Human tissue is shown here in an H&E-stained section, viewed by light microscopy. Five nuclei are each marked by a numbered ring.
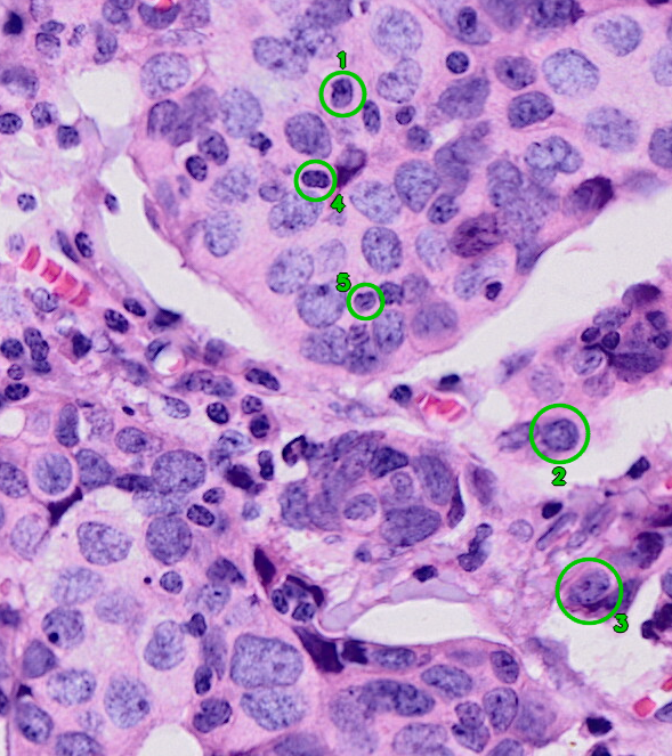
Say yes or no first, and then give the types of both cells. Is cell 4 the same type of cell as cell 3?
No, the proper labels are a lymphocyte for cell 4 and a carcinoma cell for cell 3.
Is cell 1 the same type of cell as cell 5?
Yes, the cell labelled 1 and the cell labelled 5 are both lymphocytes.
